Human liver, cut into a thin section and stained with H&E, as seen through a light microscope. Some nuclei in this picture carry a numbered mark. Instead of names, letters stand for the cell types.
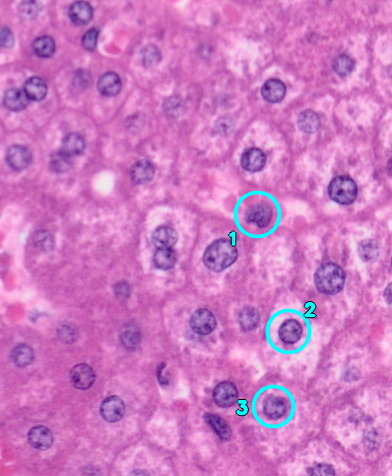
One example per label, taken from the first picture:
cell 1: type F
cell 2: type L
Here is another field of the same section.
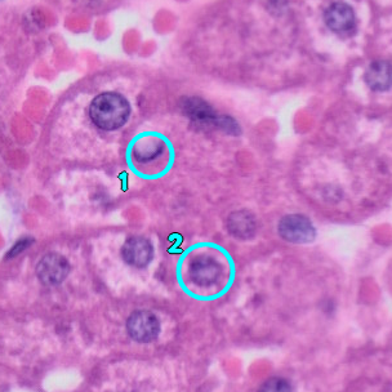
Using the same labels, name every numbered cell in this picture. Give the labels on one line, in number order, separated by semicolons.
type F; type L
